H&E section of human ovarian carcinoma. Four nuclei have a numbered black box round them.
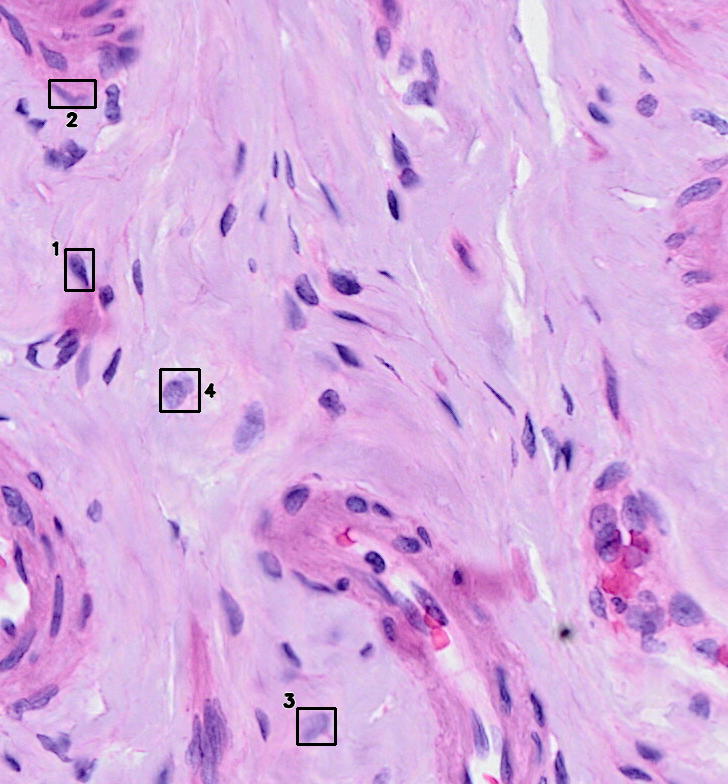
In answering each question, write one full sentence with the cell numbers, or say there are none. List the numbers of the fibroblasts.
The numbers 1, 3 and 4 refer to cells that are fibroblasts.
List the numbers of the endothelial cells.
No endothelial cells are present among the cells marked with numbers.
